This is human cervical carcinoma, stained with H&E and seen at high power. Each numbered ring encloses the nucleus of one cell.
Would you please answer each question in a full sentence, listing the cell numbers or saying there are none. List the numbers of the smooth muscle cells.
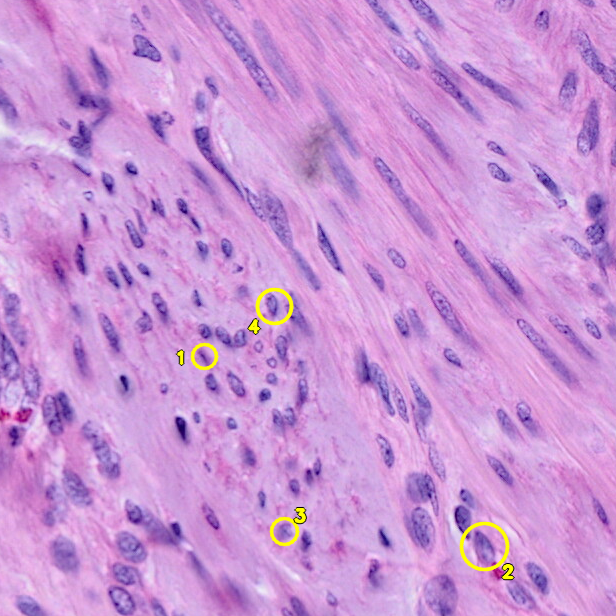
The cells tagged with numbers 1, 3 and 4 are smooth muscle cells.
